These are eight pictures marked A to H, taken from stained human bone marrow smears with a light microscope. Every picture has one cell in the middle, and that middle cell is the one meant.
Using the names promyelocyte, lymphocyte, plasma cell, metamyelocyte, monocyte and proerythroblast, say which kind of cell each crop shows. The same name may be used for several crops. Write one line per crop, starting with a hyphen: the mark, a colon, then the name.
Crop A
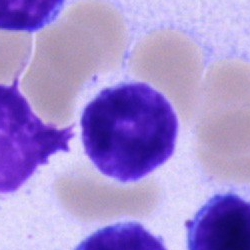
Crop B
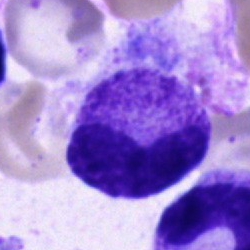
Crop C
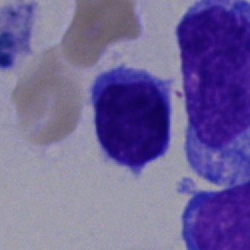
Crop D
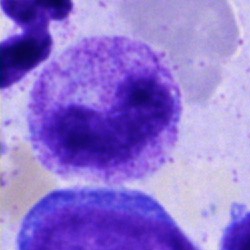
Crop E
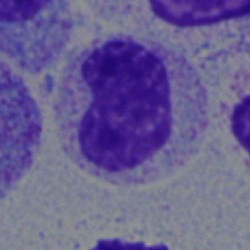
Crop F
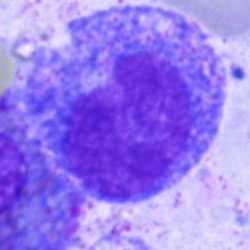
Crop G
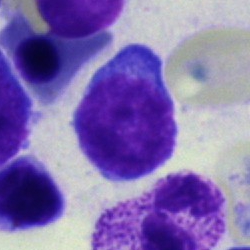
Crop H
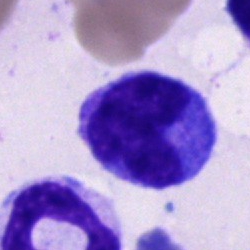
- A: lymphocyte
- B: metamyelocyte
- C: lymphocyte
- D: metamyelocyte
- E: metamyelocyte
- F: promyelocyte
- G: lymphocyte
- H: monocyte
